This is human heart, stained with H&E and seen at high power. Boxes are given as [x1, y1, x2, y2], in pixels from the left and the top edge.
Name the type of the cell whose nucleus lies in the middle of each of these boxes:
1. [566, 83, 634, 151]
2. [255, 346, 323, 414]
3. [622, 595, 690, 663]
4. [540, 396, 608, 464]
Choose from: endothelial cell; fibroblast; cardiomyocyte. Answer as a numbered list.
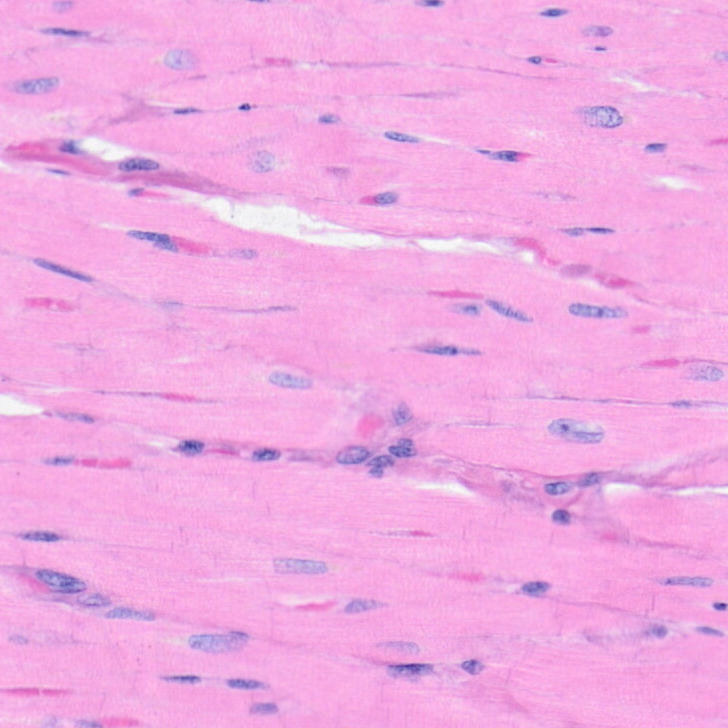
1. cardiomyocyte
2. cardiomyocyte
3. fibroblast
4. cardiomyocyte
